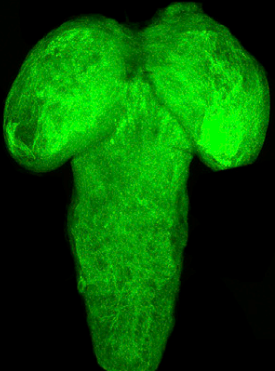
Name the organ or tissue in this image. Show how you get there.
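Brain-nerve cord complexes. Two rounded lobes sit side by side at the top of the specimen. A single elongated cord extends downward from between the lobes and tapers at its end.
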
